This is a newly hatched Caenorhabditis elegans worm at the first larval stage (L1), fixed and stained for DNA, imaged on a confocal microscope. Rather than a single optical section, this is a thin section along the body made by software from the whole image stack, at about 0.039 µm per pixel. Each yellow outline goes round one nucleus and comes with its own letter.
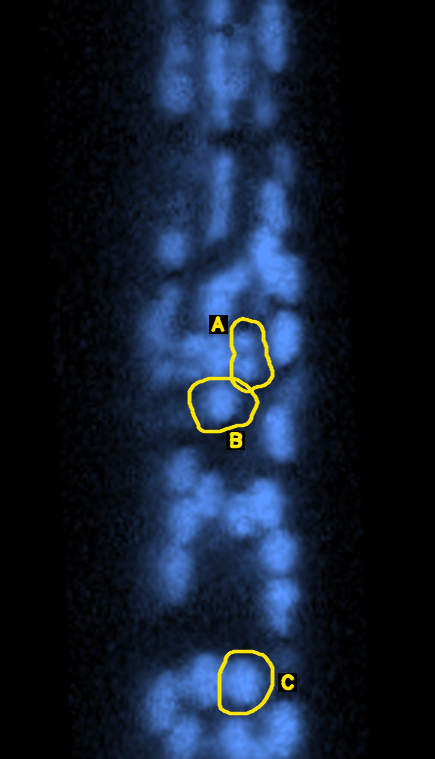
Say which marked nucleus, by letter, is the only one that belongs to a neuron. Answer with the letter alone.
B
